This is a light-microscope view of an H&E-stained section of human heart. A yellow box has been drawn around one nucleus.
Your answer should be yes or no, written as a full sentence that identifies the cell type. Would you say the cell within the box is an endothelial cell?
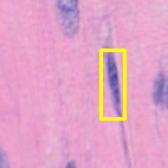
Yes, the cell within the box is, by its type, an endothelial cell.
